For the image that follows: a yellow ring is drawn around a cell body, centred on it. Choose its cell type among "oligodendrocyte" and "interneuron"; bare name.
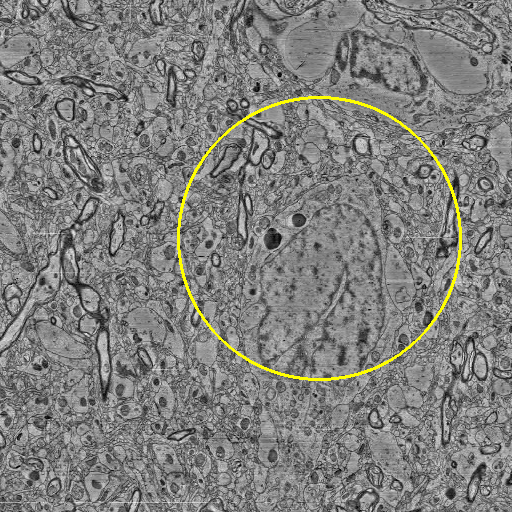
interneuron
